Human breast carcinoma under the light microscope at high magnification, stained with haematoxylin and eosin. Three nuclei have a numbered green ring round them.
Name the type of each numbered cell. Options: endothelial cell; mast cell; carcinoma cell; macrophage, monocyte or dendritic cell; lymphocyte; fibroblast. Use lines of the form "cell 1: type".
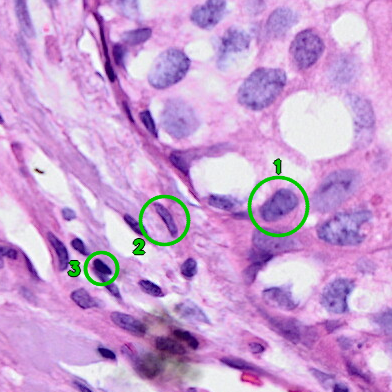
cell 1: carcinoma cell
cell 2: endothelial cell
cell 3: lymphocyte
